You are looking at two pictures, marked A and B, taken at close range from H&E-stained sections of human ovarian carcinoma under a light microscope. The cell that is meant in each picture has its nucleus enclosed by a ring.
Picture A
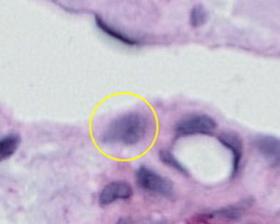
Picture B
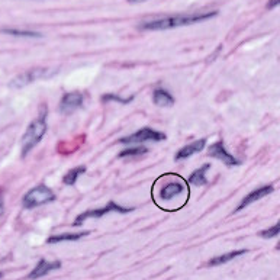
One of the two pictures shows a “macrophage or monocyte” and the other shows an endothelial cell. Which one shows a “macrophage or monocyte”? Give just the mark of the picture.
B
